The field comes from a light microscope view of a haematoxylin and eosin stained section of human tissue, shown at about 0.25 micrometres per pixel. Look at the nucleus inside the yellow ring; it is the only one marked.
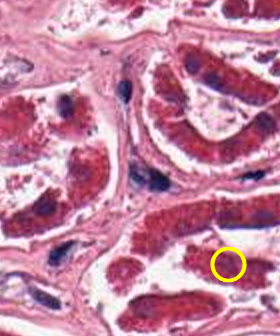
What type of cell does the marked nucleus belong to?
proximal tubule cell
